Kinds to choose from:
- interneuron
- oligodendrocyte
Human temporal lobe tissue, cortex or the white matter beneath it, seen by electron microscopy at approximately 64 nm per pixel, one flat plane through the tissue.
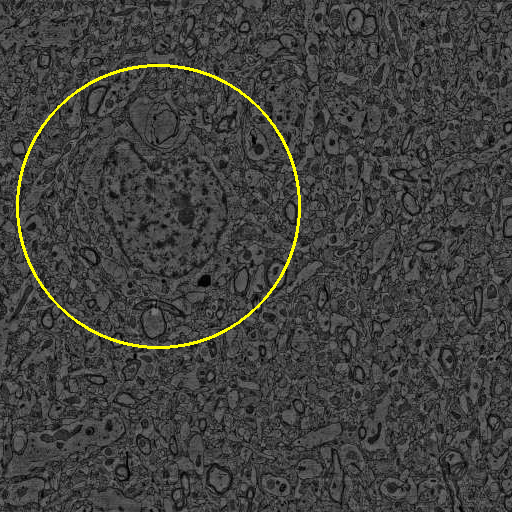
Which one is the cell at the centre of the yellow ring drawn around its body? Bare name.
interneuron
